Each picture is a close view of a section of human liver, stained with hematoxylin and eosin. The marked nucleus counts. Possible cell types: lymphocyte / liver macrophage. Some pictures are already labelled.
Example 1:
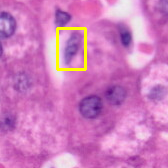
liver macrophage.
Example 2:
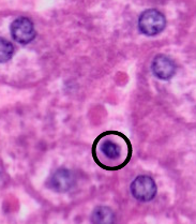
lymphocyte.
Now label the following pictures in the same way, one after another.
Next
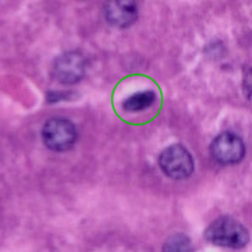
lymphocyte.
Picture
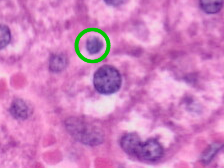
lymphocyte.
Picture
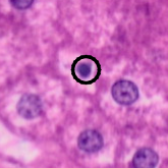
lymphocyte.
